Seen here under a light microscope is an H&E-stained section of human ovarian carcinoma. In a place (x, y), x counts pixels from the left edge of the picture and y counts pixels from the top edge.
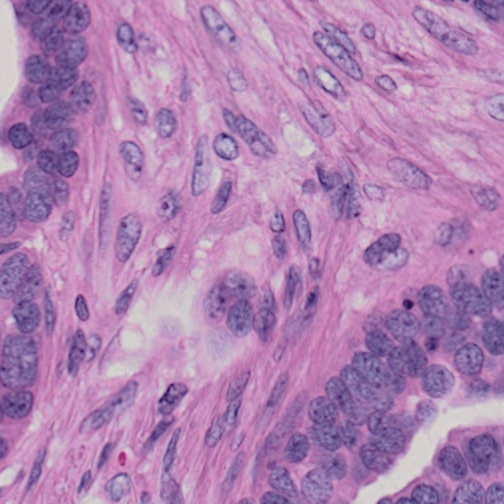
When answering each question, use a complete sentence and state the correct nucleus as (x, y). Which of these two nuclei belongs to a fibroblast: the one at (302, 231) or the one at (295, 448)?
Here the nucleus at (302, 231) is the one that belongs to a fibroblast.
